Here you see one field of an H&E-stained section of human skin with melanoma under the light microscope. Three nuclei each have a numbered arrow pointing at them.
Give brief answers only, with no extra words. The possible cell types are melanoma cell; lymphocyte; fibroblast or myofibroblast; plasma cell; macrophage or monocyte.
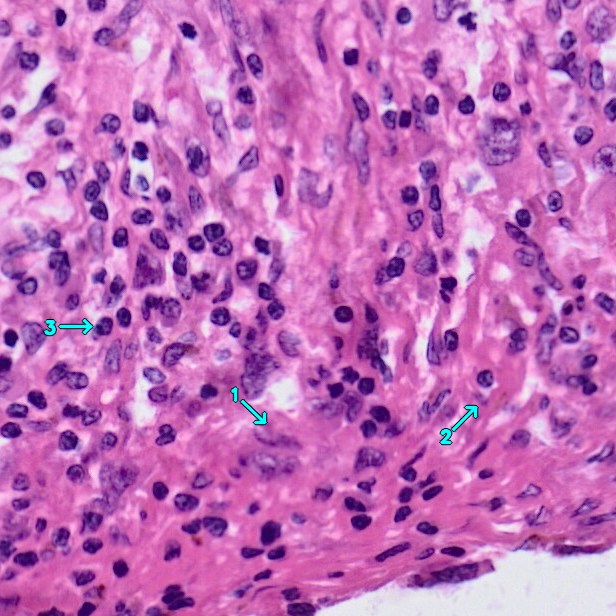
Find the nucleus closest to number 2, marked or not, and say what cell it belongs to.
lymphocyte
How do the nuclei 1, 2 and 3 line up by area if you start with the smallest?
2, 3, 1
